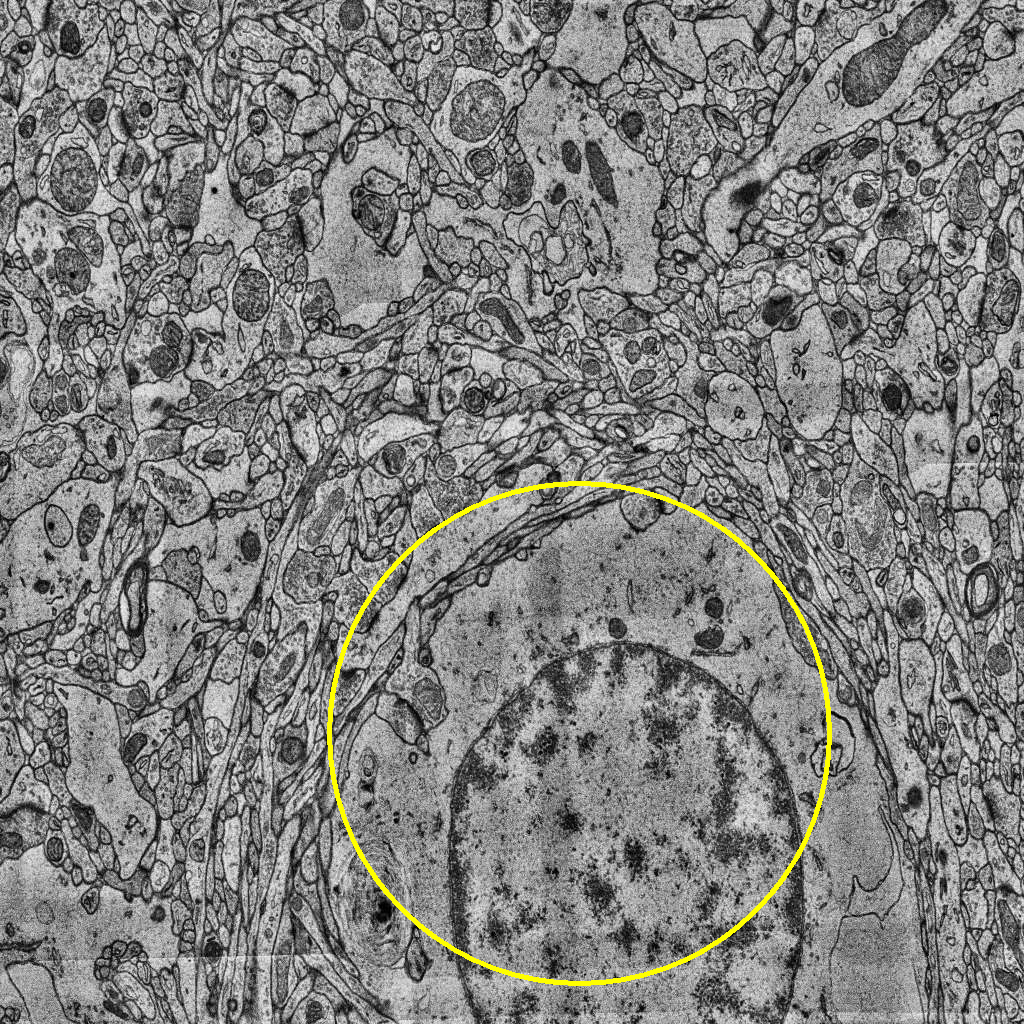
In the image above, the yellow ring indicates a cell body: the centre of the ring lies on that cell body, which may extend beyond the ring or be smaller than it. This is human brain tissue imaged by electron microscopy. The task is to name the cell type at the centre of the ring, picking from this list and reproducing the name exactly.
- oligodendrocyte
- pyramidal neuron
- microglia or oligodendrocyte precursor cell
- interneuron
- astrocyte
astrocyte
